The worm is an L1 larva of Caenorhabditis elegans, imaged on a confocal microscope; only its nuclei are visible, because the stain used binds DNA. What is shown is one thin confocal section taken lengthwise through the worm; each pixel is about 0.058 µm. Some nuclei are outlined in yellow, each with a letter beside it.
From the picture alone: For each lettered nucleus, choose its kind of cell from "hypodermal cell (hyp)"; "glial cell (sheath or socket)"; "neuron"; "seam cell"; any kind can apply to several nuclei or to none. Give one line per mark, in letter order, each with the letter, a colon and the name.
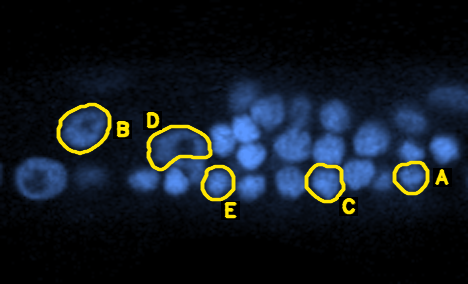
A: neuron
B: glial cell (sheath or socket)
C: neuron
D: seam cell
E: neuron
